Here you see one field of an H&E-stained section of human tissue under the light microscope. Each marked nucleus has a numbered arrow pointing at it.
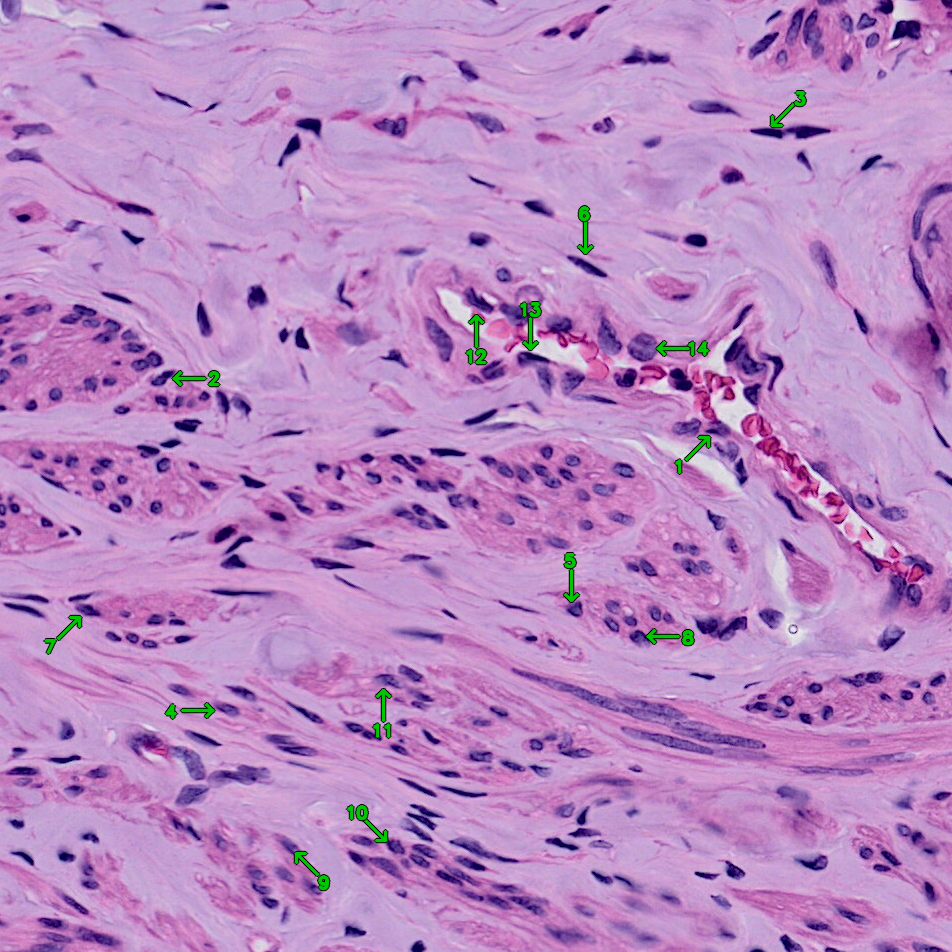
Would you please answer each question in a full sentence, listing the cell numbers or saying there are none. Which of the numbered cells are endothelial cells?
Cells 1, 12, 13 and 14 share one type; they are endothelial cells.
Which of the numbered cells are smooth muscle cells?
The cells that have been numbered 2, 4, 5, 7, 8, 9, 10 and 11 are smooth muscle cells.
